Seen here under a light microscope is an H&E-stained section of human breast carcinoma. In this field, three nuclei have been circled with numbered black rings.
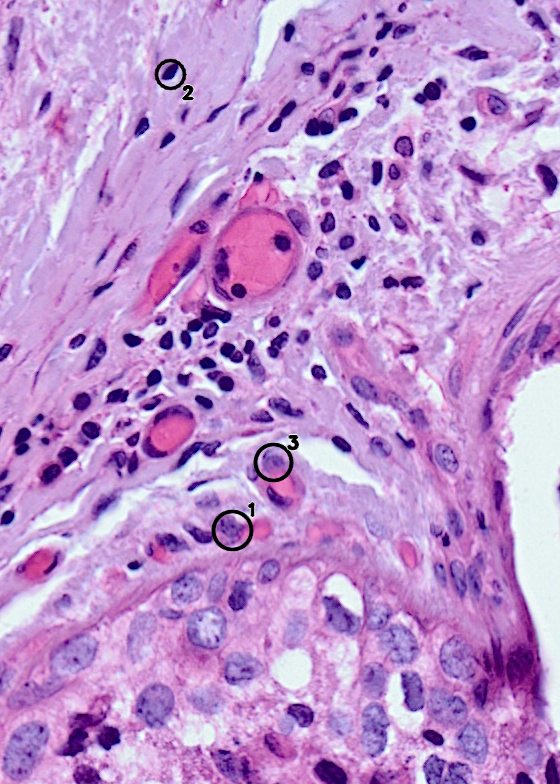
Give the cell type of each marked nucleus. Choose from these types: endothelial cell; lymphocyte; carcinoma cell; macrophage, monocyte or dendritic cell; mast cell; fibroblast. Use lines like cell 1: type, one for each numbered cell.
cell 1: endothelial cell
cell 2: lymphocyte
cell 3: endothelial cell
